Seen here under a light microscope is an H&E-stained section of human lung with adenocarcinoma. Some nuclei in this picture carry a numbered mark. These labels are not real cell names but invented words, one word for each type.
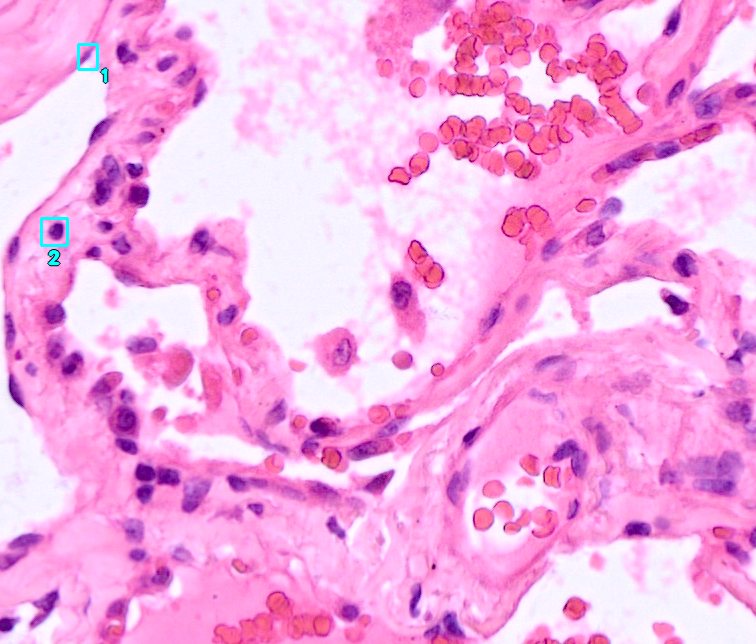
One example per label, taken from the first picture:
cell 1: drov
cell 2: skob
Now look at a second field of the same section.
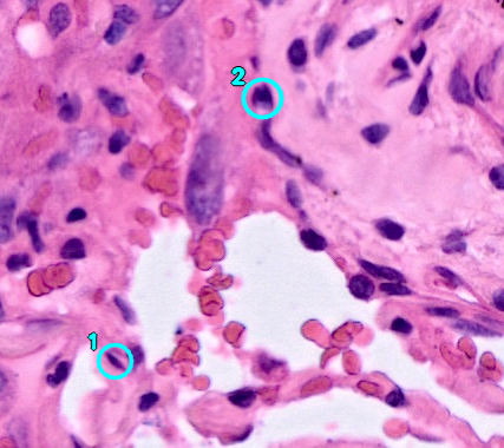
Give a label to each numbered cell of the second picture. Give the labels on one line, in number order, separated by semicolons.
drov; skob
